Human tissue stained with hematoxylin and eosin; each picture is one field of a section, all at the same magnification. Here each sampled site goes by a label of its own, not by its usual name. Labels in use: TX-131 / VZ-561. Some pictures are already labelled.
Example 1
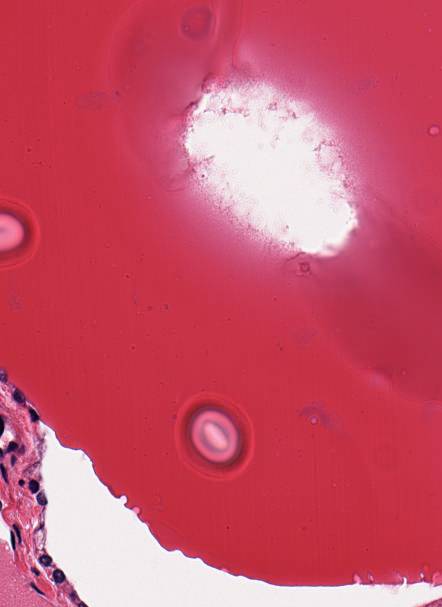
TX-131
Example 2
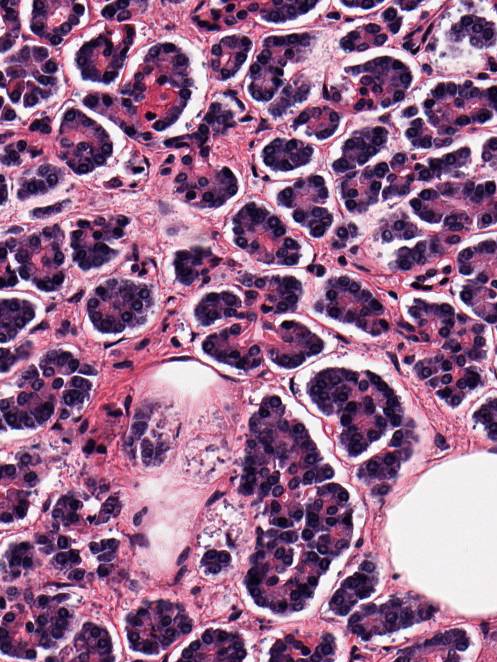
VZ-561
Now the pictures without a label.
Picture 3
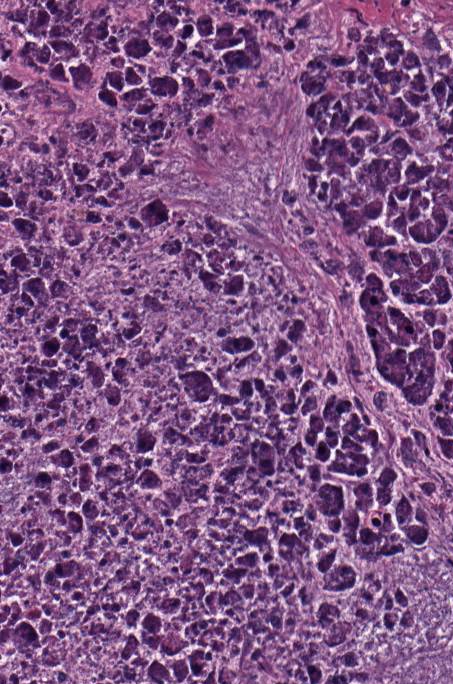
VZ-561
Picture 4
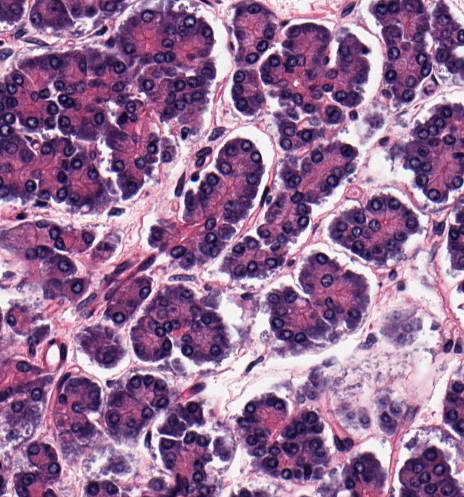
VZ-561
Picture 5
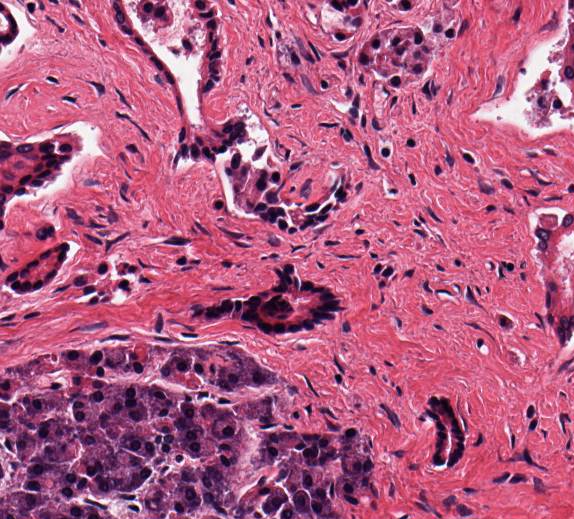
VZ-561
